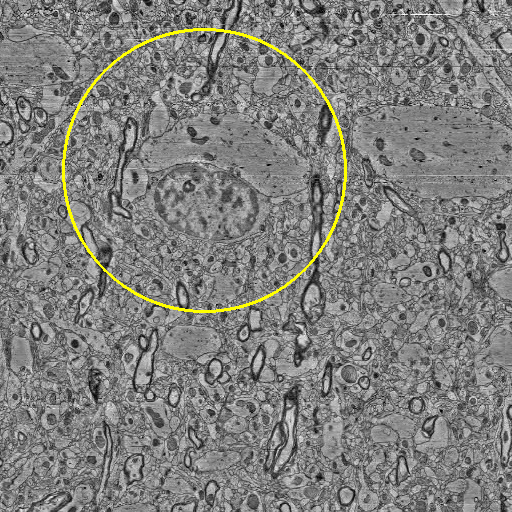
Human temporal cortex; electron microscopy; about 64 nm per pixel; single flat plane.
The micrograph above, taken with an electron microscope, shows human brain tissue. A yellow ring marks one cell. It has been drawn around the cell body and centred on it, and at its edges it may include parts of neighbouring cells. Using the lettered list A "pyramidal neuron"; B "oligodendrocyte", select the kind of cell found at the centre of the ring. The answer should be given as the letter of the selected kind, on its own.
B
